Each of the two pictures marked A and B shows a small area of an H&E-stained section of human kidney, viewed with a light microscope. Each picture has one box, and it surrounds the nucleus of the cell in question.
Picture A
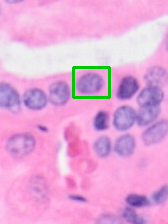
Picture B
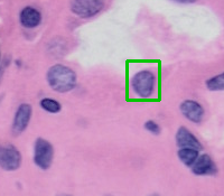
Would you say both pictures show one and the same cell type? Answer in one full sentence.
No, the types are not the same, since picture A shows a collecting duct cell and picture B a “loop of Henle or distal tubule cell”.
